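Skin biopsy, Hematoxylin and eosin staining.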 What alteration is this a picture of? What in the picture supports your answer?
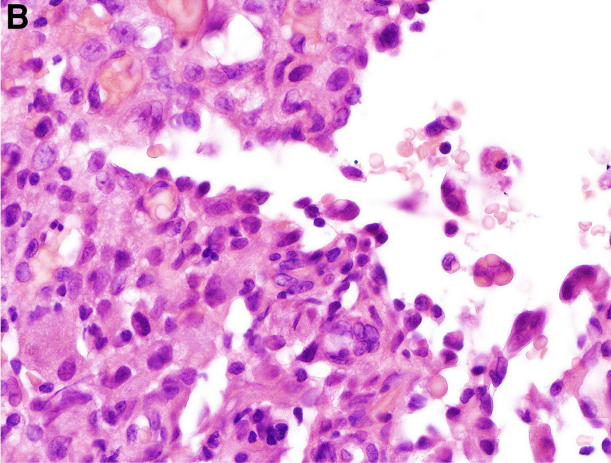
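Nuclei vary markedly in size and shape. Many nuclei are large and stain dark purple. Some nuclei have irregular, angulated outlines. So: atypical, enlarged, and hyperchromatic nuclei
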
